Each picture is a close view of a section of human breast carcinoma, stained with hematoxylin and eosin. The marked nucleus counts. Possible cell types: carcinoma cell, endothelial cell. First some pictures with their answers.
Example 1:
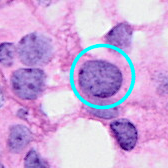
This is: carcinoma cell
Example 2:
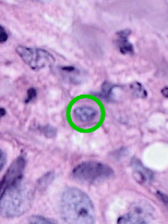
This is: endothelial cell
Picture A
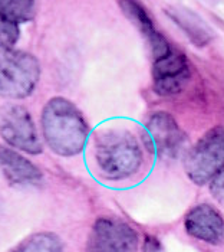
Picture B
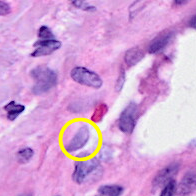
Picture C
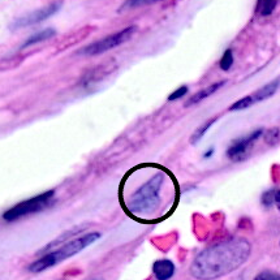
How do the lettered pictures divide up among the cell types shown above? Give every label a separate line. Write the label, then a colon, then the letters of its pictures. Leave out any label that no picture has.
carcinoma cell: A
endothelial cell: B, C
